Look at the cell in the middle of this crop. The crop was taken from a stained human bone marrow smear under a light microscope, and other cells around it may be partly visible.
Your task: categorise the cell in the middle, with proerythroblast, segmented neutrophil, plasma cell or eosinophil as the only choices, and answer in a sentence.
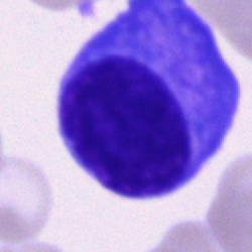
Centred in the crop is a plasma cell.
